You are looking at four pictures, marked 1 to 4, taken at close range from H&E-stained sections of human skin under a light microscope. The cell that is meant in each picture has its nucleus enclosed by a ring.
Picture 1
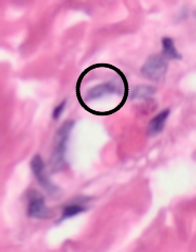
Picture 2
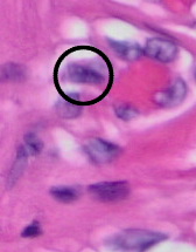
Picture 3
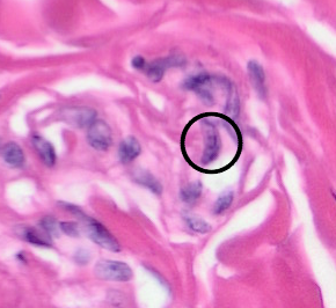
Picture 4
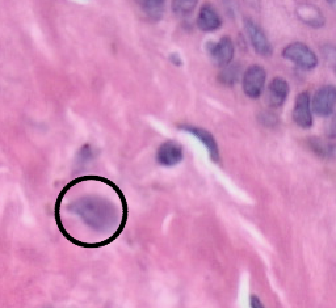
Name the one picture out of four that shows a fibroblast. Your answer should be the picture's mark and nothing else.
4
